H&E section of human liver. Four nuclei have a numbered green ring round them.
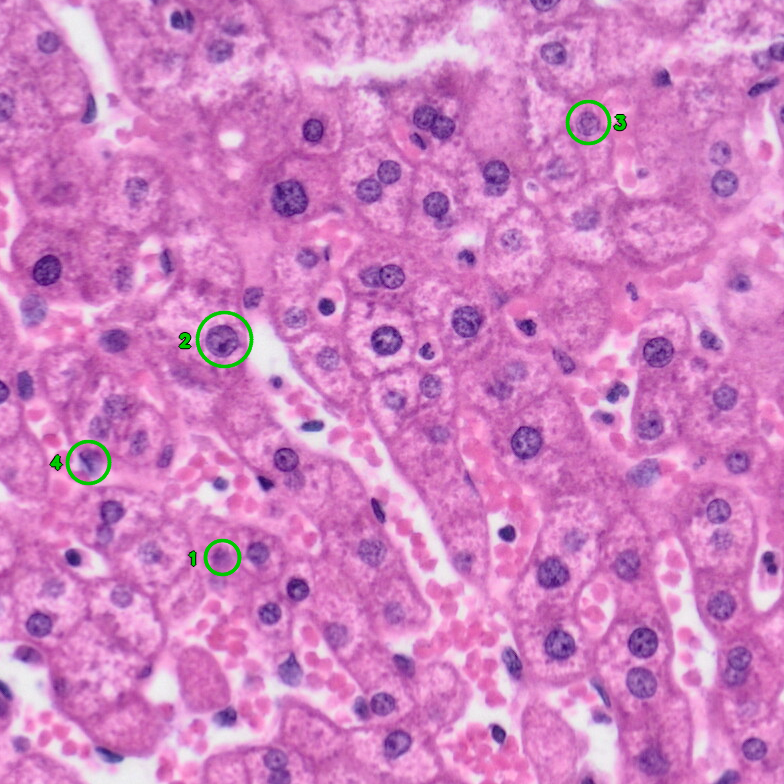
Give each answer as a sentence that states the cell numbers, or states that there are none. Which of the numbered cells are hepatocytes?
Cells 1, 2 and 3 are hepatocytes by cell type.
